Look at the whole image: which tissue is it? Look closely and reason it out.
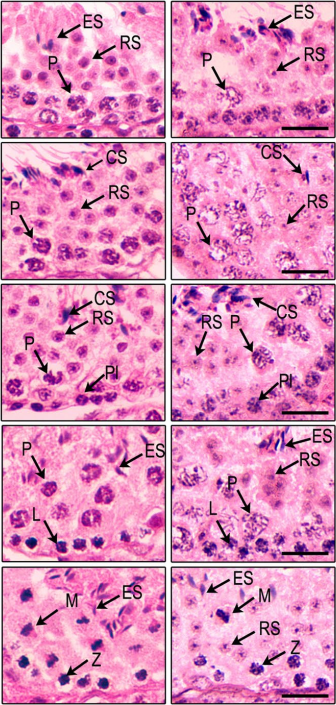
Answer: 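Layered germ cells rest on a thin basal membrane. Nuclei of different sizes and condensation lie in strata toward a lumen. Slender dark heads of maturing cells lie toward the lumen.
Hence: seminiferous tubules.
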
